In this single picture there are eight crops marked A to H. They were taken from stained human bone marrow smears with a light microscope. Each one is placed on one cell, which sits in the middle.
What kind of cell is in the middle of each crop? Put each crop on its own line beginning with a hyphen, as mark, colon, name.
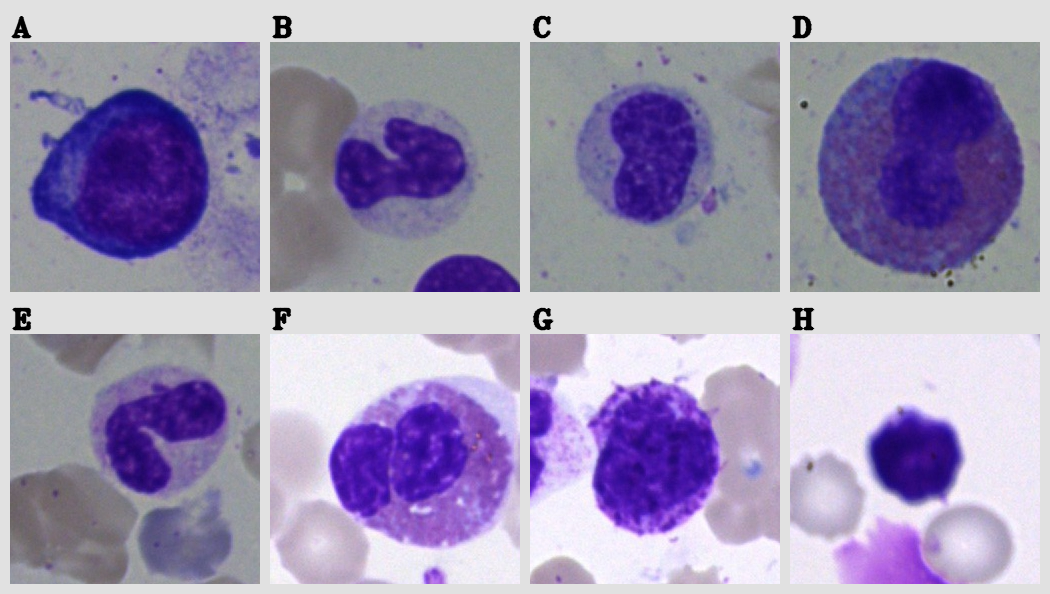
- A: proerythroblast
- B: band neutrophil
- C: metamyelocyte
- D: eosinophil
- E: band neutrophil
- F: eosinophil
- G: basophil
- H: lymphocyte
